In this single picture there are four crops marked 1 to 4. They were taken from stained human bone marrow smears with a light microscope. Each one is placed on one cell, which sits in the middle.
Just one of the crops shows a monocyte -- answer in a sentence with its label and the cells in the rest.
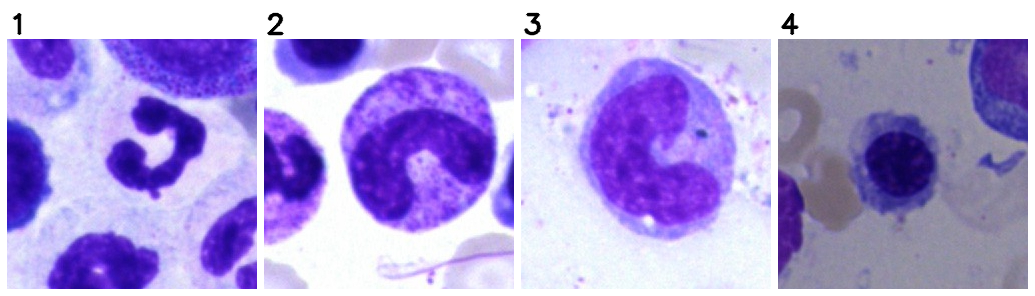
The cell shown in crop 3 is a monocyte, whereas crop 1 is a segmented neutrophil, crop 2 is a band neutrophil and crop 4 is an erythroblast.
